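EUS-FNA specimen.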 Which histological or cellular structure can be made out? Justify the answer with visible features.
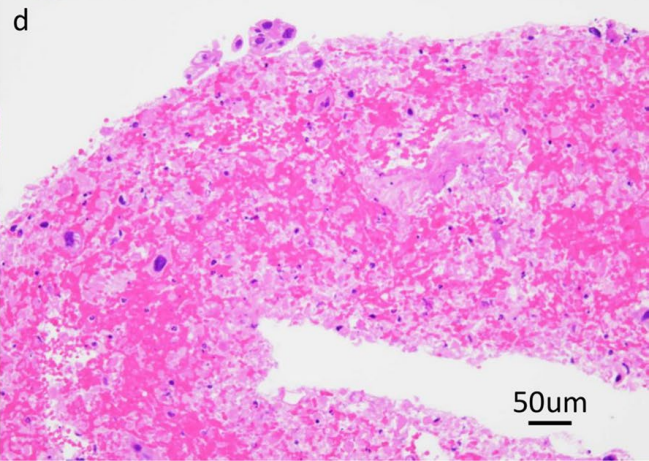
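Blood clots. The material is mostly densely packed pink red blood cells. Only scattered nucleated cells lie among them. No intact tissue architecture is seen.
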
